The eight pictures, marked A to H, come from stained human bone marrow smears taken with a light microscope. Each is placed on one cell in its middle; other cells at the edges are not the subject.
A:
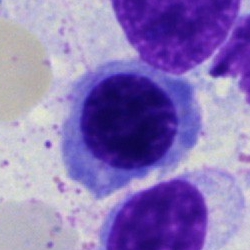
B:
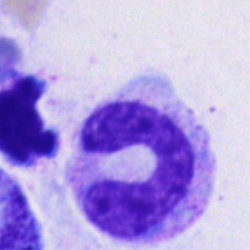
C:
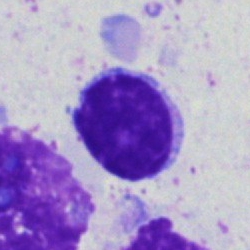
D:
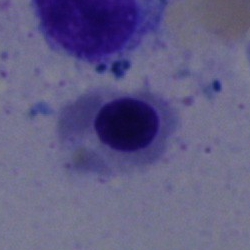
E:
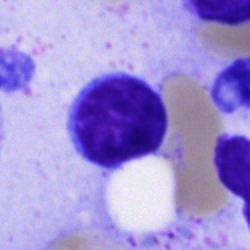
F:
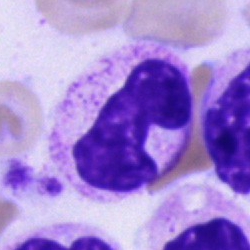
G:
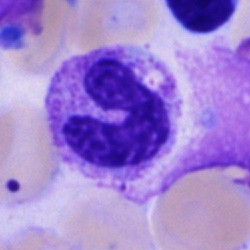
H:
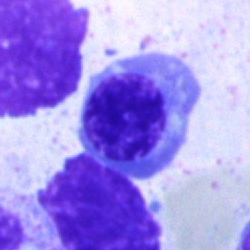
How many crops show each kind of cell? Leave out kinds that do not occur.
erythroblast: 3
band neutrophil: 3
lymphocyte: 2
